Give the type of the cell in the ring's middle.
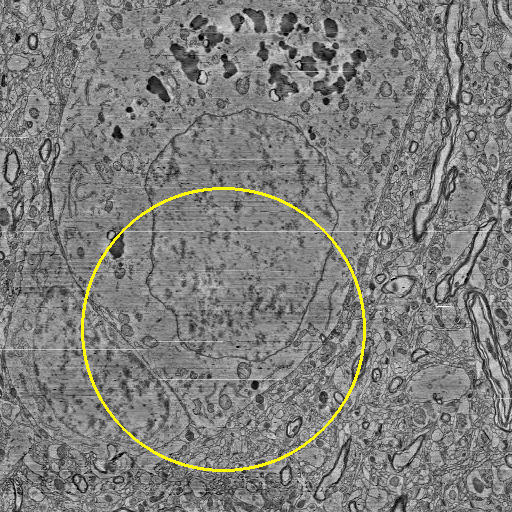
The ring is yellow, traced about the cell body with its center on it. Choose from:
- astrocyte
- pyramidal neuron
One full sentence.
Here, a pyramidal neuron is the cell lying at the center of the yellow ring.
